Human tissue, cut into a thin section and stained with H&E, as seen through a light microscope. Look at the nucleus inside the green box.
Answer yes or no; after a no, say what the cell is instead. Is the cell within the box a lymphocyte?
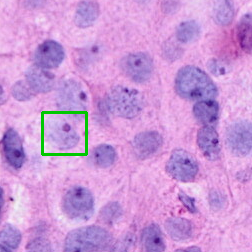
No, it is a carcinoma cell.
